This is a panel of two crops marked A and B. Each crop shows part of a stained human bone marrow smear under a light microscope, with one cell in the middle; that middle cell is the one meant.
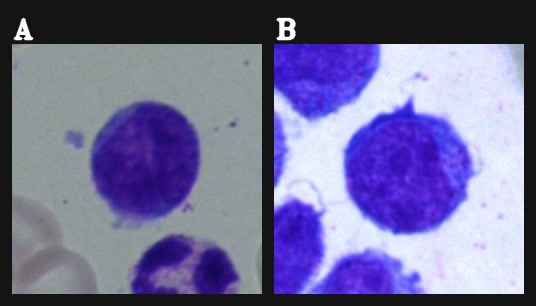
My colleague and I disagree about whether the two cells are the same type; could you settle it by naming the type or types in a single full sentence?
Yes, the two crops show blasts, both of them.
